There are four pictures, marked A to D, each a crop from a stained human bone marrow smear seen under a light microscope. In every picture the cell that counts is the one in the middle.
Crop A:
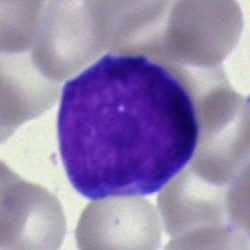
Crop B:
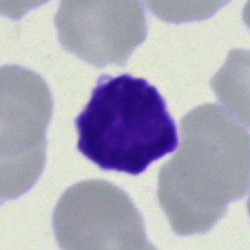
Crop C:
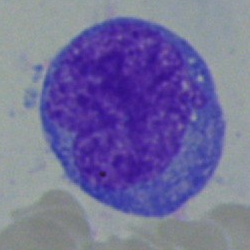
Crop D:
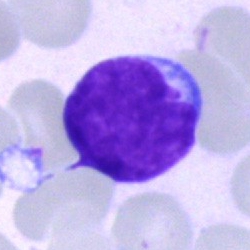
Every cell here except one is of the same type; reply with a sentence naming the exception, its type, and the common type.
Crop B is the exception here: it is a lymphocyte, and the others are blasts.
